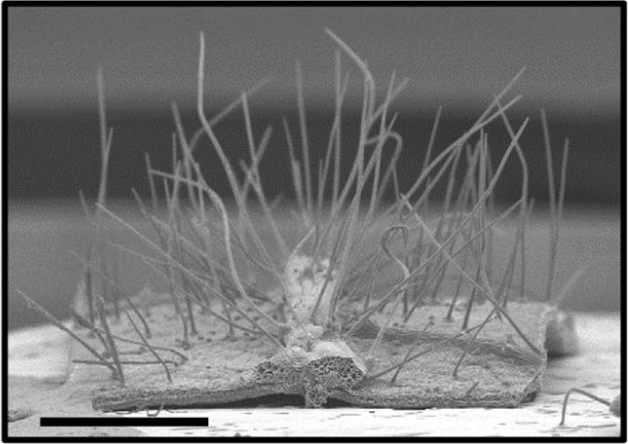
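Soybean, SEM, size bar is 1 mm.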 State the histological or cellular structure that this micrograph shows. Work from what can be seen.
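A flat piece of leaf is seen from the side on a specimen stub. Many long, thin, unbranched hairs project upward from the leaf surface. So: leaf trichomes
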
